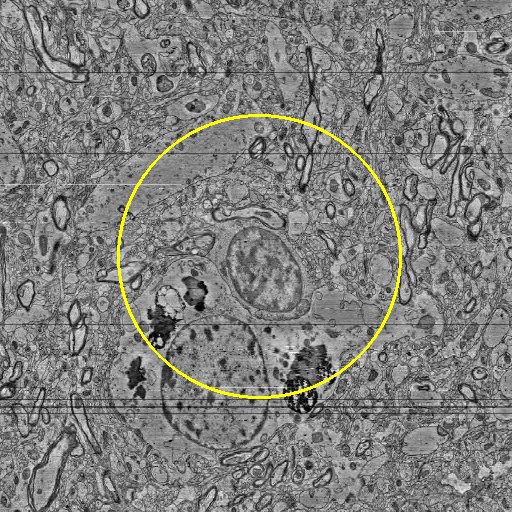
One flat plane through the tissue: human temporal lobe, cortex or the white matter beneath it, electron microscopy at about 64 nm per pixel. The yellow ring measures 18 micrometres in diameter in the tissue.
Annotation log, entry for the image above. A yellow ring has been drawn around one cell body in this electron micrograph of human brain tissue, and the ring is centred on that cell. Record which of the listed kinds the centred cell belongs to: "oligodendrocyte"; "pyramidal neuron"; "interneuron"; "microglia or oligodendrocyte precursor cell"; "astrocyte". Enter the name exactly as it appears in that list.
oligodendrocyte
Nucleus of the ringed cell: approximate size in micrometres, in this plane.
About 6 by 5 micrometres in this plane.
